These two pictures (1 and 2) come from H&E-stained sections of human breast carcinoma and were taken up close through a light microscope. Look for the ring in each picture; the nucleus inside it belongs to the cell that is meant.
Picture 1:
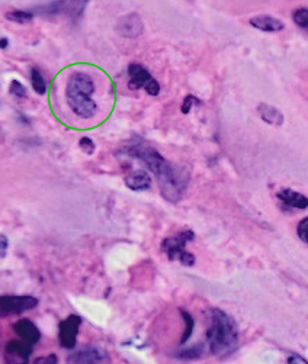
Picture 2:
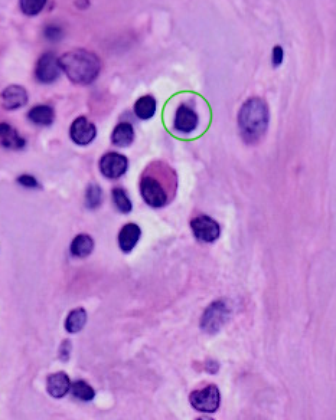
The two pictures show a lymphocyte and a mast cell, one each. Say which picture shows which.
1: mast cell
2: lymphocyte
